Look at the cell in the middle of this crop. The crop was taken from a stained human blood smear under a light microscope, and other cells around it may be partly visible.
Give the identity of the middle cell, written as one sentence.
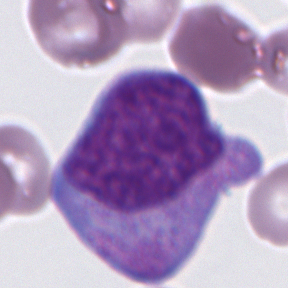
The central cell, amid any neighbouring cells, is an atypical promyelocyte.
